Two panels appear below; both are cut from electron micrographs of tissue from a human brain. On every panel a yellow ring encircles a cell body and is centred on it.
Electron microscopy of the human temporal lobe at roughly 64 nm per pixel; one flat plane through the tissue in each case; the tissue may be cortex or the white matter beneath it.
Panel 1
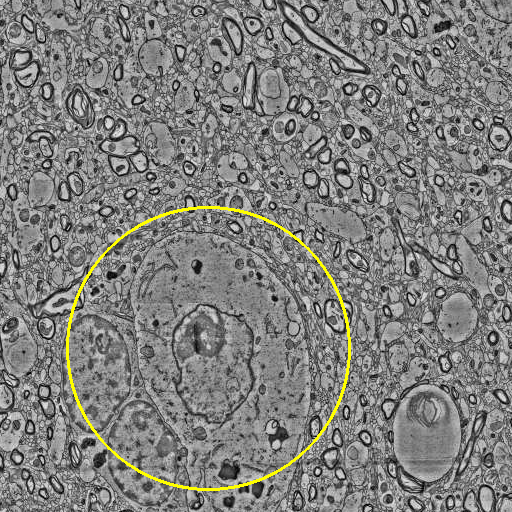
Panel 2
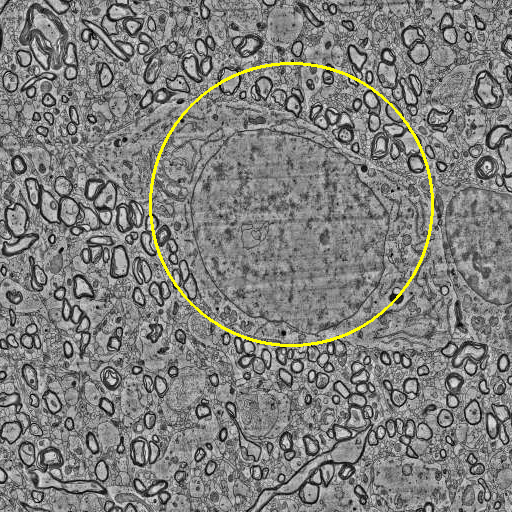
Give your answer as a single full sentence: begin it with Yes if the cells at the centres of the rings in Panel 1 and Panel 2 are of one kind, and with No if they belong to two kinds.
Yes, the cells in the middle of the rings in Panels 1 and 2 are of one kind.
